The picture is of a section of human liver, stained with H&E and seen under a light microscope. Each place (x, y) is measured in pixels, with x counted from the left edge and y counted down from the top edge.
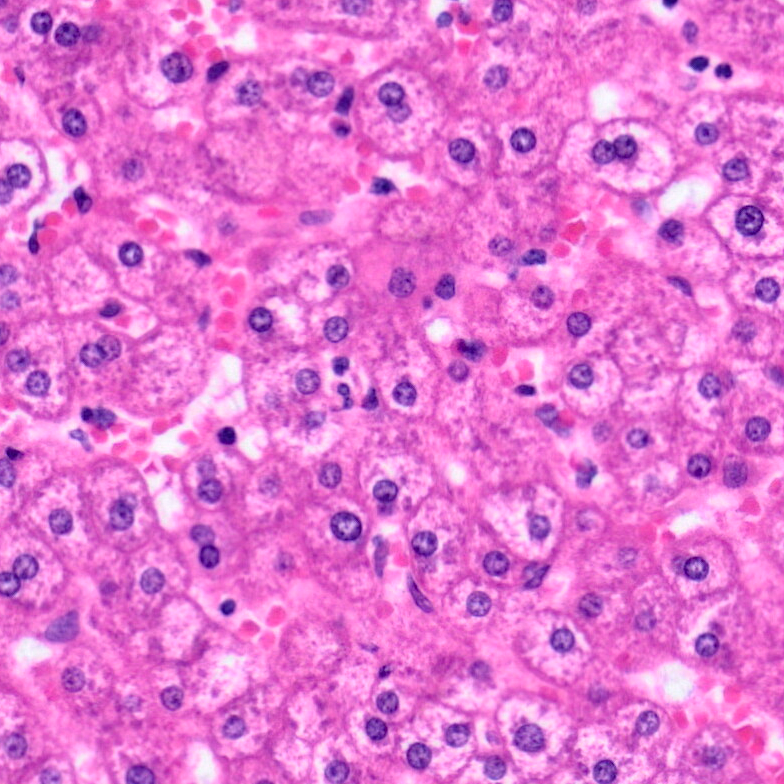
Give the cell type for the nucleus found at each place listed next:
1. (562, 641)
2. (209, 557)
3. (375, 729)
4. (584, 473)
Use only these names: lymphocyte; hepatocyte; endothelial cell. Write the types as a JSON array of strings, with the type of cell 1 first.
["hepatocyte", "hepatocyte", "hepatocyte", "endothelial cell"]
